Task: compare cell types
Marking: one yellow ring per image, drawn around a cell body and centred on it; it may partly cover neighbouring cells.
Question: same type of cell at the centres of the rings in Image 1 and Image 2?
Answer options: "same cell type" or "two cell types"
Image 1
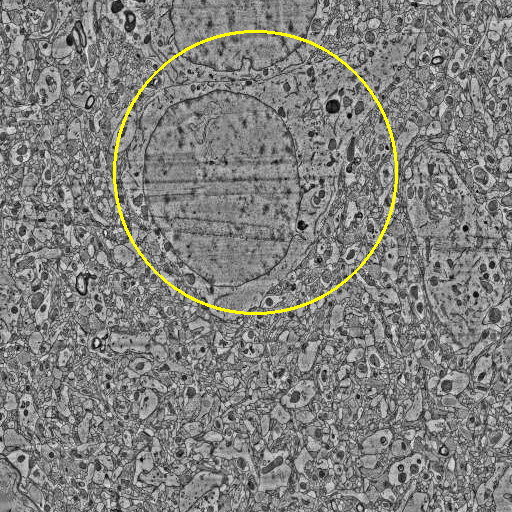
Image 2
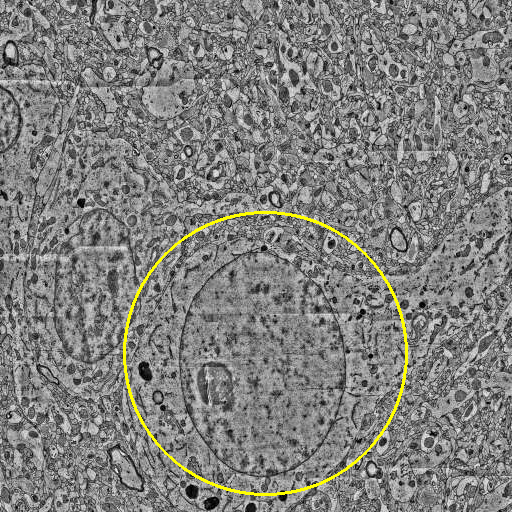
same cell type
